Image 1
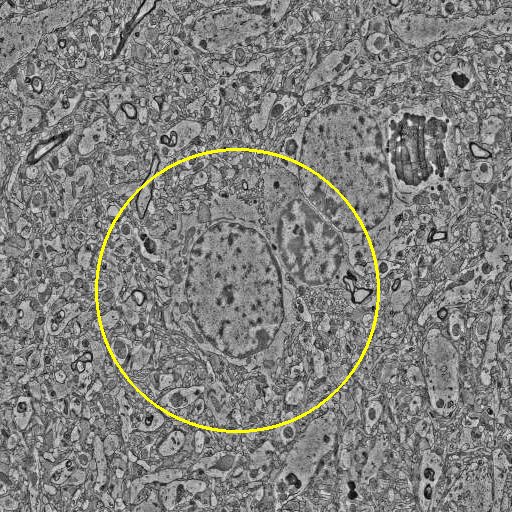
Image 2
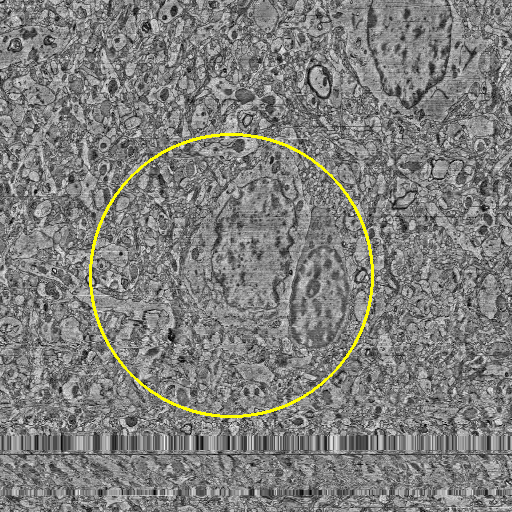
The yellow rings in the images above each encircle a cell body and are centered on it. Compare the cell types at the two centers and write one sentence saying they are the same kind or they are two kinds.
Taken together, the two cells at the ring centers are two kinds.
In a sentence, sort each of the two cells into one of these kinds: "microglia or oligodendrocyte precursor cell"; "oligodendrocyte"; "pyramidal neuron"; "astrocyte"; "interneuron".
The first of the two cells is an astrocyte, and the second is an interneuron.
